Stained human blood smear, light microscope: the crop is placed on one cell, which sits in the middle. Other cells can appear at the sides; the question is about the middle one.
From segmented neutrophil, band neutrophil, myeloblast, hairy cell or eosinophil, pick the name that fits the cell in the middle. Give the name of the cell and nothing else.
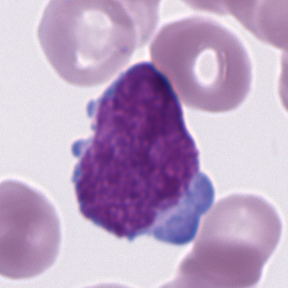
myeloblast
